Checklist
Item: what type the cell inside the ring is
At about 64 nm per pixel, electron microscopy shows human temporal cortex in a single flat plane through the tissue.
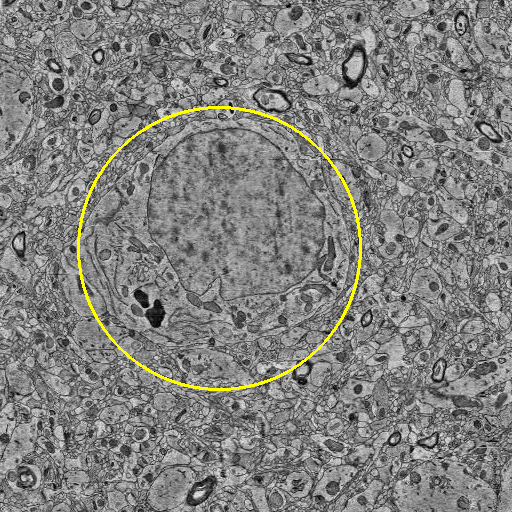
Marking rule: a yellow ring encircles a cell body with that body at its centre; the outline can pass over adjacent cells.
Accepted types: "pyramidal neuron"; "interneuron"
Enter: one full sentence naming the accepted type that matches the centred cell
The entry is that an interneuron lies at the centre of the yellow ring.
